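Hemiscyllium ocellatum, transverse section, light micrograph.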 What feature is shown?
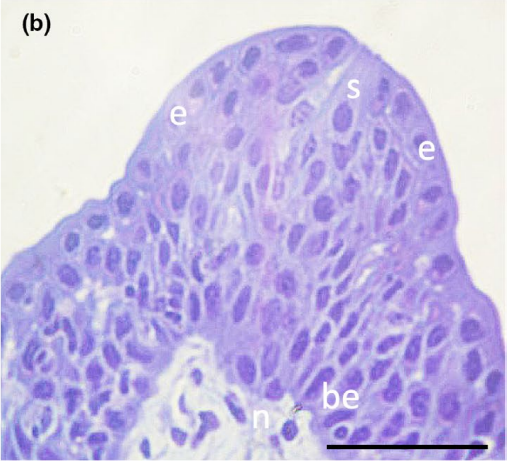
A: Dome‐shaped taste papilla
